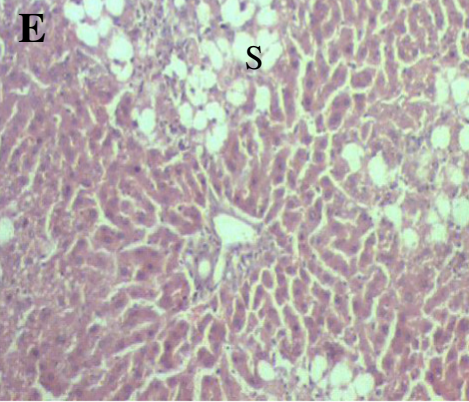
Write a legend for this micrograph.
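This is liver parenchyma around a central vein, with hepatocytes holding large fat vacuoles. Pink cords of hepatocytes radiate from a small clear vein in the middle, separated by widened pale sinusoidal spaces. In the upper part and along the right side lie clusters of large round clear vacuoles of different sizes, each looking empty, pushing into the tissue. The cells between them still keep pink cytoplasm and nuclei. The large clear vacuoles mark macrovesicular fatty change.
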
